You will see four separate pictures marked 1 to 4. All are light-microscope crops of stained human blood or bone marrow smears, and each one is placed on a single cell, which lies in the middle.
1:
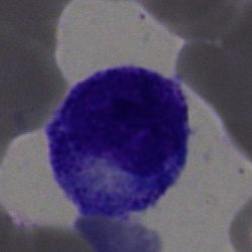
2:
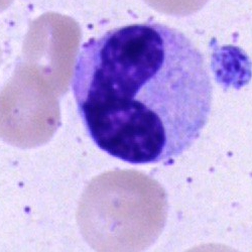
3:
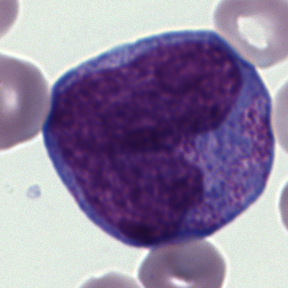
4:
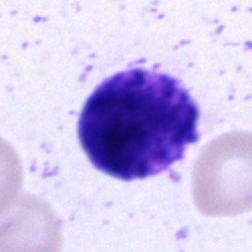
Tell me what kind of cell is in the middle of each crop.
1: promyelocyte
2: band neutrophil
3: promyelocyte
4: basophil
